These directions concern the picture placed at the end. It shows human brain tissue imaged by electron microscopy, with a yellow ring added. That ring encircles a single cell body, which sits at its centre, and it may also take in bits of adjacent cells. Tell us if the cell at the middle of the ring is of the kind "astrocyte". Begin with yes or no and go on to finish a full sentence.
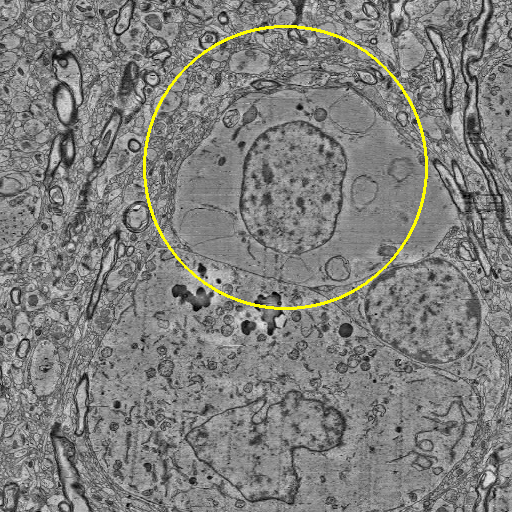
Yes, the cell sitting at the centre of the yellow ring in the picture is of that kind.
